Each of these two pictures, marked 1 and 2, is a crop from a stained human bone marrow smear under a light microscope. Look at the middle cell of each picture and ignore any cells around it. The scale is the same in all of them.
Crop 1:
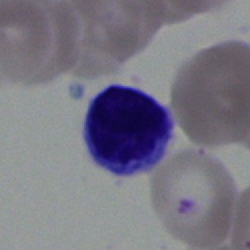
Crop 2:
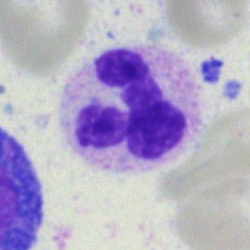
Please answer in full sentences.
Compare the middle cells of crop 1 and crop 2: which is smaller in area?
Crop 1 holds the smaller cell, since the cell in crop 2 covers about 2 times as much area.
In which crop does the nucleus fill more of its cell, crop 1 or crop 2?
The nucleus fills more of the cell in crop 1 than in crop 2.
